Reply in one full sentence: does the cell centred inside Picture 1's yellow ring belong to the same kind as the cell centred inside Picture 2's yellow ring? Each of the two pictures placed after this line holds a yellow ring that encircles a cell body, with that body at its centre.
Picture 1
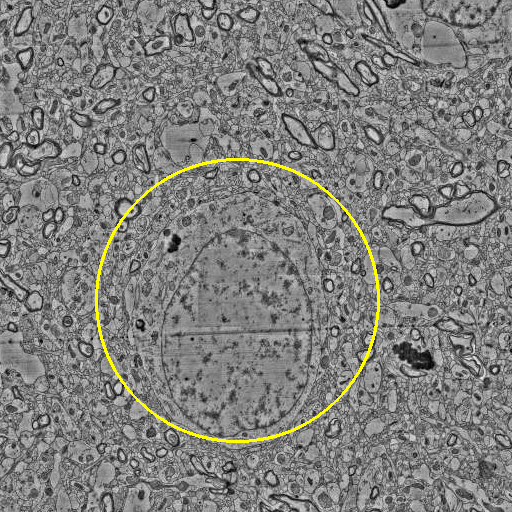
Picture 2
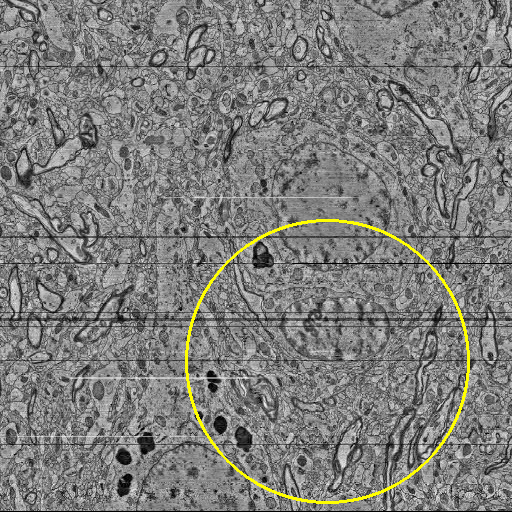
No, the ring-centred cells in Picture 1 and Picture 2 are of two separate kinds.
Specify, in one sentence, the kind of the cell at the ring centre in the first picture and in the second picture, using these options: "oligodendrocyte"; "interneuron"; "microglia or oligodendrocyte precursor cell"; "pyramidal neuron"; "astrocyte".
So the first is a pyramidal neuron, the second an oligodendrocyte.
